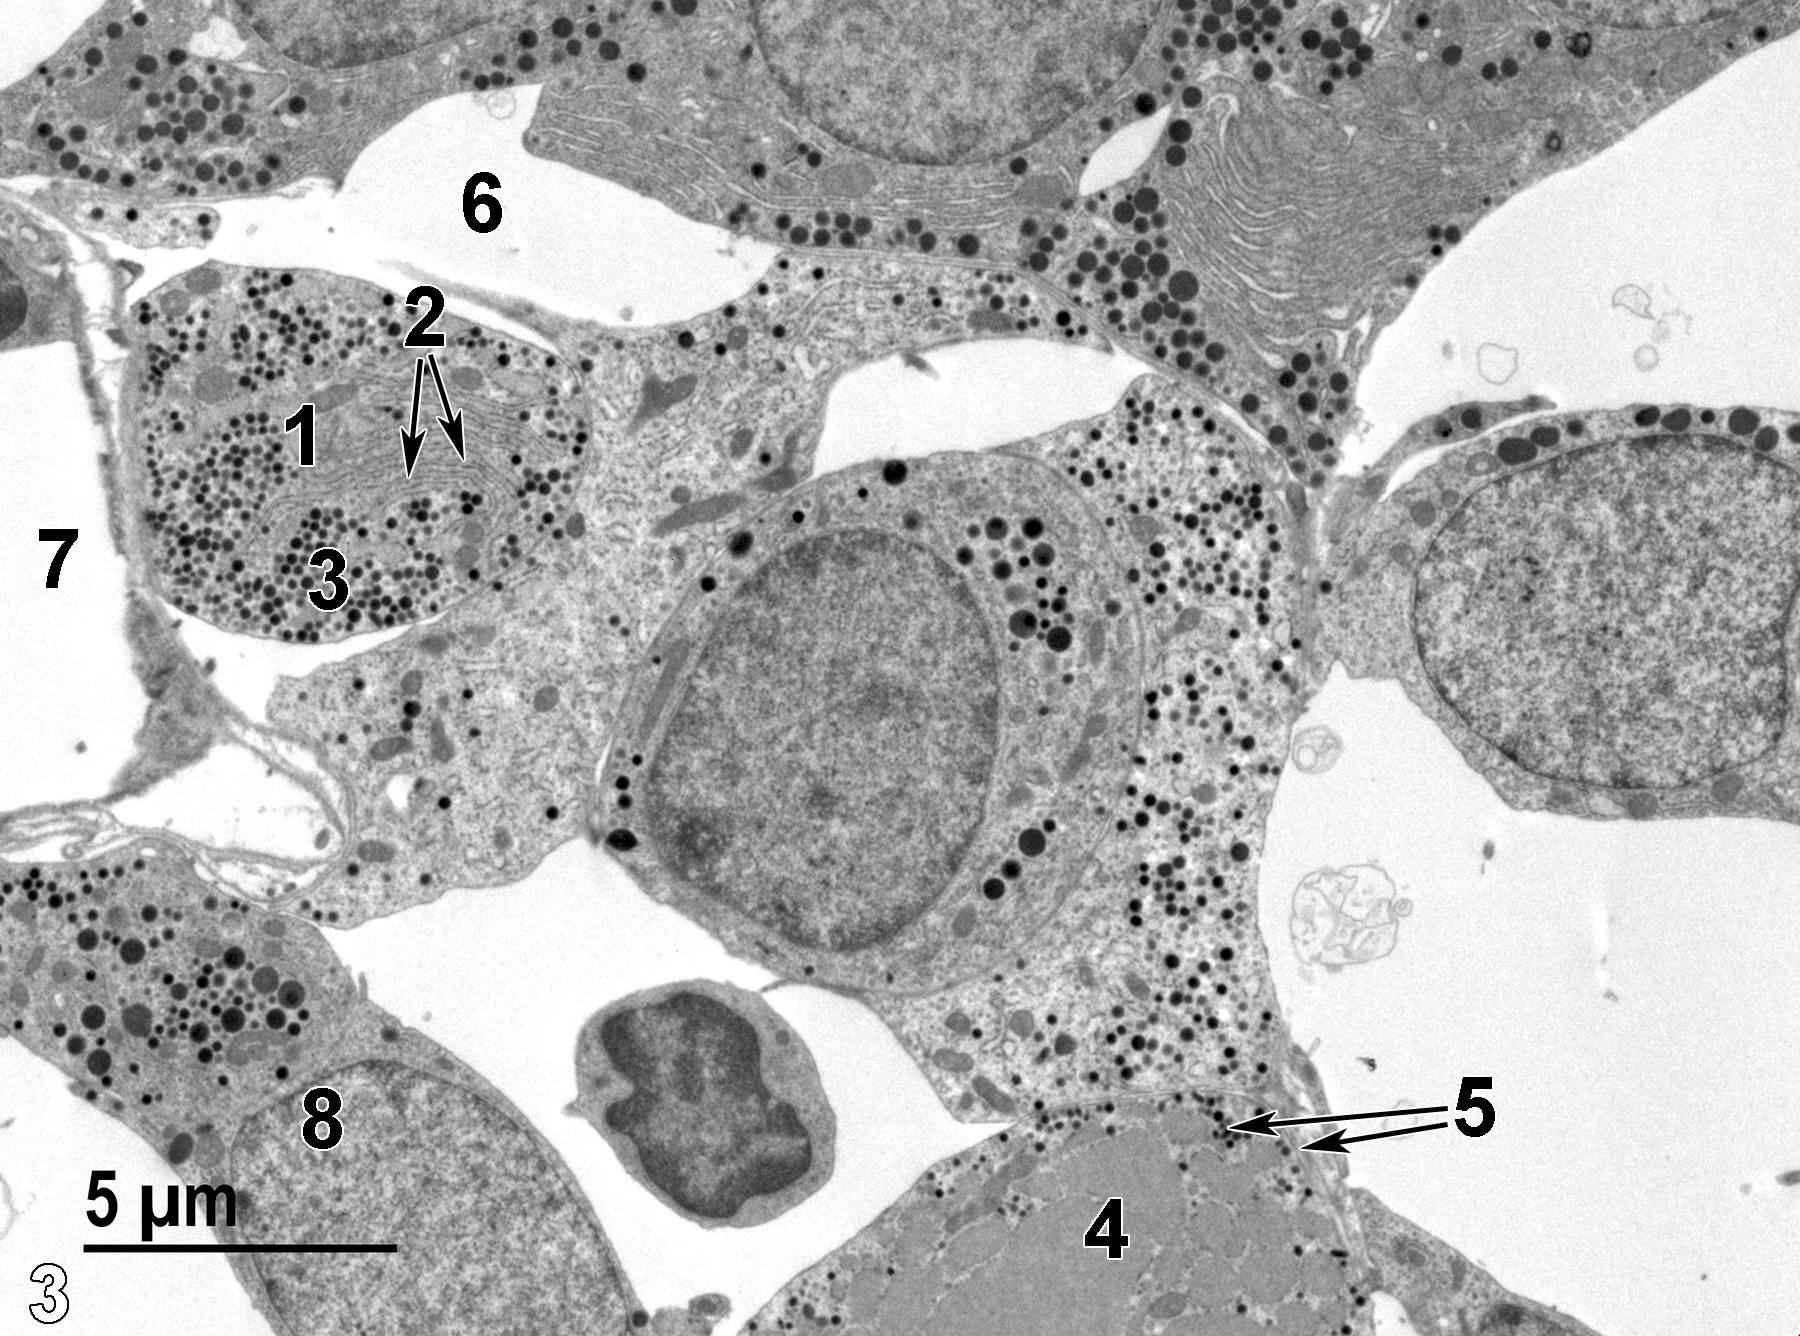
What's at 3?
3 marks the secretory granules.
